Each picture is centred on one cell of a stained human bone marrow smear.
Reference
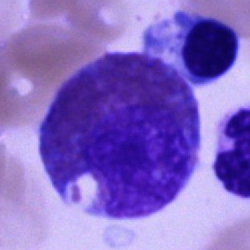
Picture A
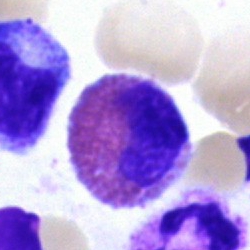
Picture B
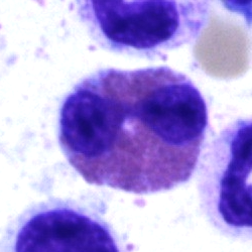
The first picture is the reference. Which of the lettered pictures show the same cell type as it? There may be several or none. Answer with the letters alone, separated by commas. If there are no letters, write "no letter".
A, B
